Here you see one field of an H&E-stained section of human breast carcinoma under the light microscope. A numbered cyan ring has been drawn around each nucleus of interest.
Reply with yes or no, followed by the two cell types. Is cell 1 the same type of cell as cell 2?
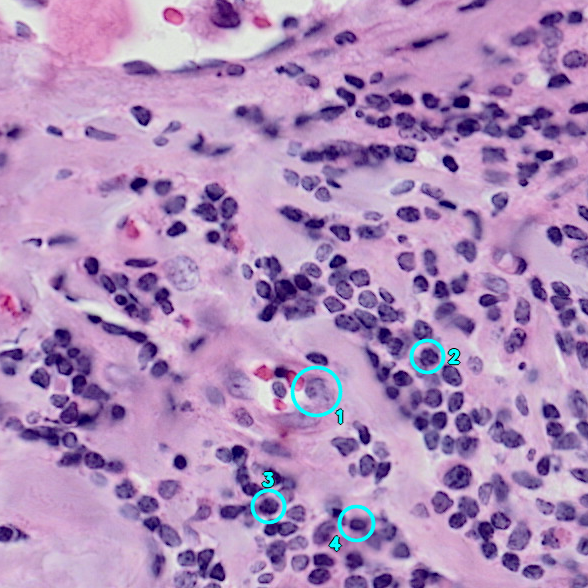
No, cell 1 is an endothelial cell and cell 2 is a lymphocyte.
